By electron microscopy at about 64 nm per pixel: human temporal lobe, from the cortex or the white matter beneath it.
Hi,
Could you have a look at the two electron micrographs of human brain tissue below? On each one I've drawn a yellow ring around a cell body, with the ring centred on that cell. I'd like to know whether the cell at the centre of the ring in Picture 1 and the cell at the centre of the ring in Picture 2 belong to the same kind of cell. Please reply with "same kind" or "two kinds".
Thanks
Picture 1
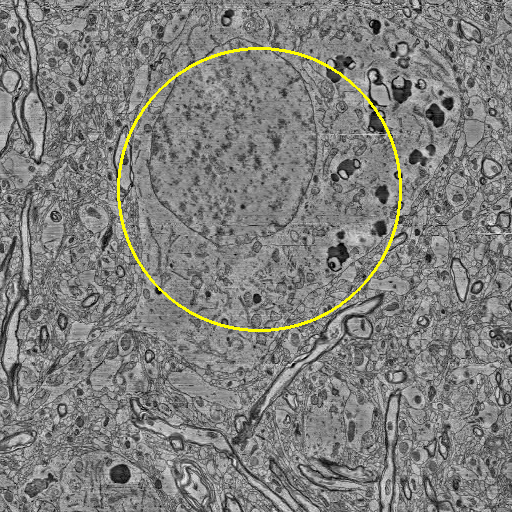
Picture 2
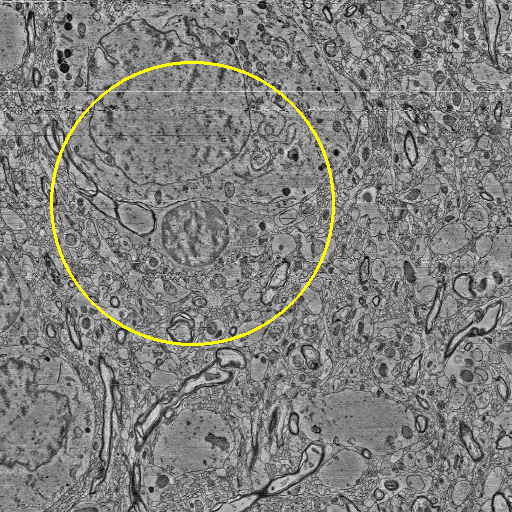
two kinds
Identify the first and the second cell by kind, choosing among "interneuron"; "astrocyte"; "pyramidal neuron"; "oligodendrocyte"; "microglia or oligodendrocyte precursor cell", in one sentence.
The one in the first picture is a pyramidal neuron, while the one in the second is an oligodendrocyte.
